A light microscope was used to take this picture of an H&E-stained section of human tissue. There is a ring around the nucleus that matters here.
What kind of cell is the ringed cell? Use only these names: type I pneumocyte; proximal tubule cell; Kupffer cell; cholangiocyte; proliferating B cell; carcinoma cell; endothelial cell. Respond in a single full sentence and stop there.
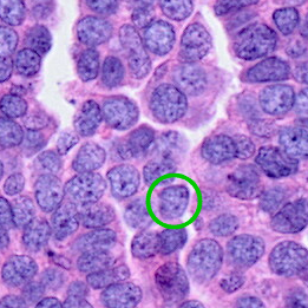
In the context of this tissue, the ringed cell is a carcinoma cell.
